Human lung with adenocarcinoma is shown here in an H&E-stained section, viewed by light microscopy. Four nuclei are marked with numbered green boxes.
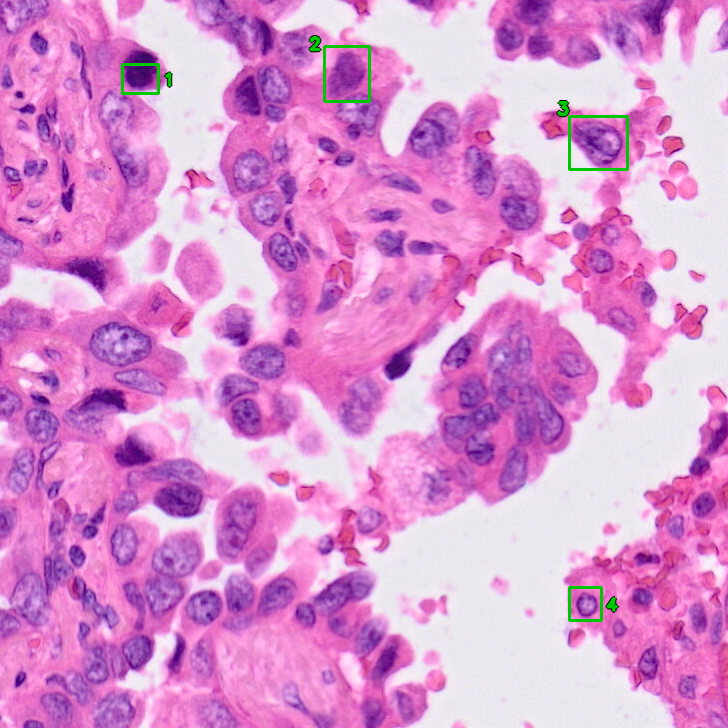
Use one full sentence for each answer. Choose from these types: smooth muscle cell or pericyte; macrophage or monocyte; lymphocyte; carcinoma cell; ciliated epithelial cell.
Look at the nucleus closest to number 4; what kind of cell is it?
Closest to number 4 lies the nucleus of a macrophage or monocyte.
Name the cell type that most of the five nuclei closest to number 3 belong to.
Of the five nuclei nearest to number 3, most belong to carcinoma cells.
